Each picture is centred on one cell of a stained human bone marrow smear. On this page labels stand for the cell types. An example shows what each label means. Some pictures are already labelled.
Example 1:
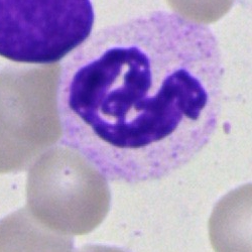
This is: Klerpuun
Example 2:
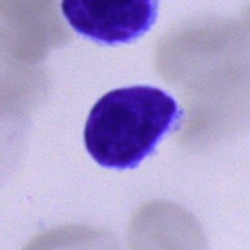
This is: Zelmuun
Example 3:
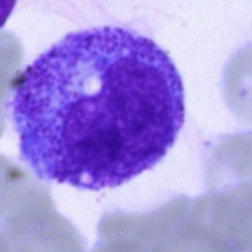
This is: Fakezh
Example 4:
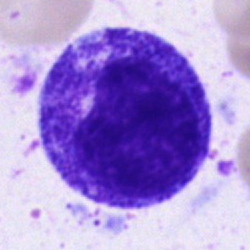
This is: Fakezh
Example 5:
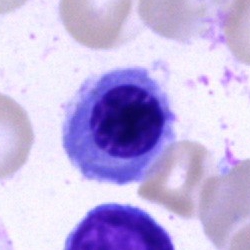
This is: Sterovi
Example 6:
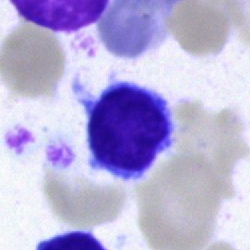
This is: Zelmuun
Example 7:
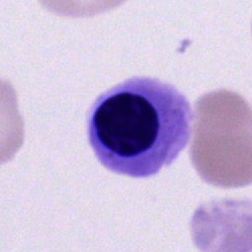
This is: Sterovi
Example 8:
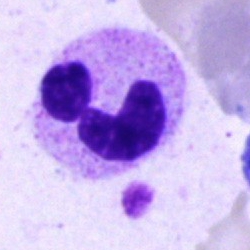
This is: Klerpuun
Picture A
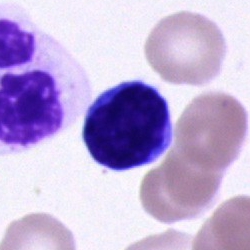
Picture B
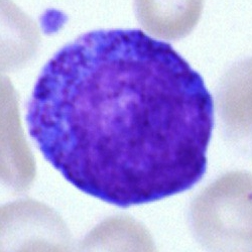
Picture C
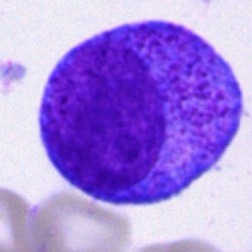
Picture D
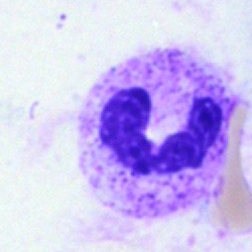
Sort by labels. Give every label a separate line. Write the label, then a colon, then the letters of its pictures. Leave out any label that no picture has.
Klerpuun: D
Zelmuun: A
Fakezh: B, C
